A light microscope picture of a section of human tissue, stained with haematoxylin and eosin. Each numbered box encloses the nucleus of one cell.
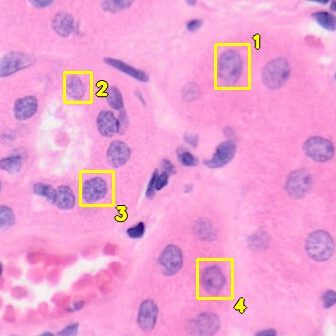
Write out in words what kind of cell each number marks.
Cell 1 is a proximal tubule cell, cell 2 is a loop of Henle or distal tubule cell, cell 3 is a loop of Henle or distal tubule cell and cell 4 is a proximal tubule cell.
